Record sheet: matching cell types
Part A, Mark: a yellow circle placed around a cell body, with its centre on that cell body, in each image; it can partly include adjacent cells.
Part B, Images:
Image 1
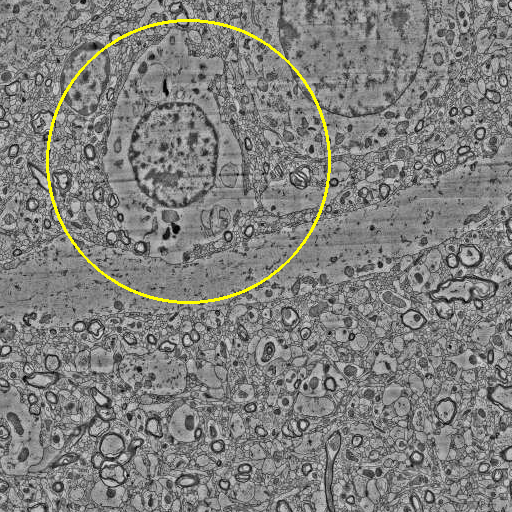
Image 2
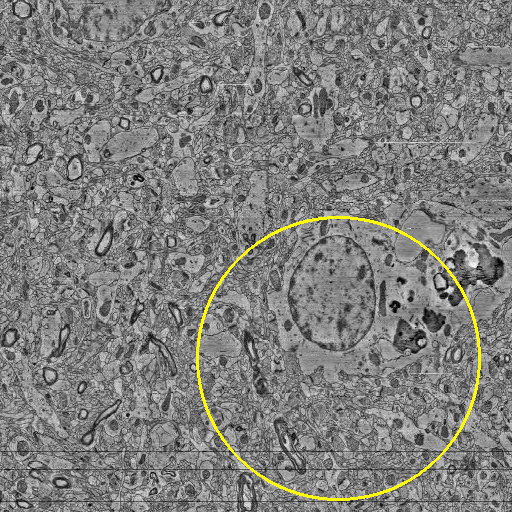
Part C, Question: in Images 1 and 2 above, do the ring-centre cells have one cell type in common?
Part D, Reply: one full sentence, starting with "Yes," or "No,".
Yes, the ring-centre cells of Image 1 and Image 2 are both of a single cell type.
